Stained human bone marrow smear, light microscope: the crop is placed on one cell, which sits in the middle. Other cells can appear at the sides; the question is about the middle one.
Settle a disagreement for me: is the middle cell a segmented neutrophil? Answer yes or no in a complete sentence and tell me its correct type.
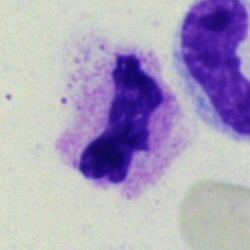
Yes, the cell at the crop's center is a segmented neutrophil.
